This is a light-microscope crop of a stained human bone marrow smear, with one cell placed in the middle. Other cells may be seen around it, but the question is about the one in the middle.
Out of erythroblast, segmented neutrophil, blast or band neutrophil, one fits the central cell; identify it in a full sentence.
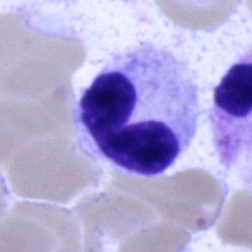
Here the cell in the middle is a band neutrophil.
